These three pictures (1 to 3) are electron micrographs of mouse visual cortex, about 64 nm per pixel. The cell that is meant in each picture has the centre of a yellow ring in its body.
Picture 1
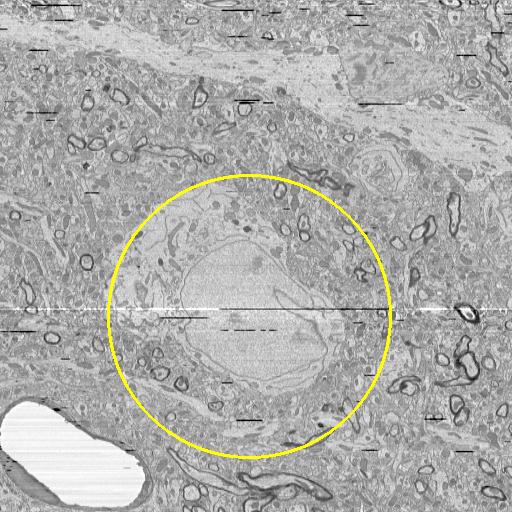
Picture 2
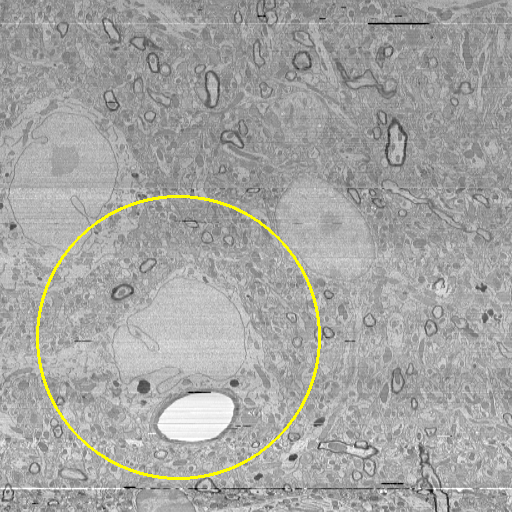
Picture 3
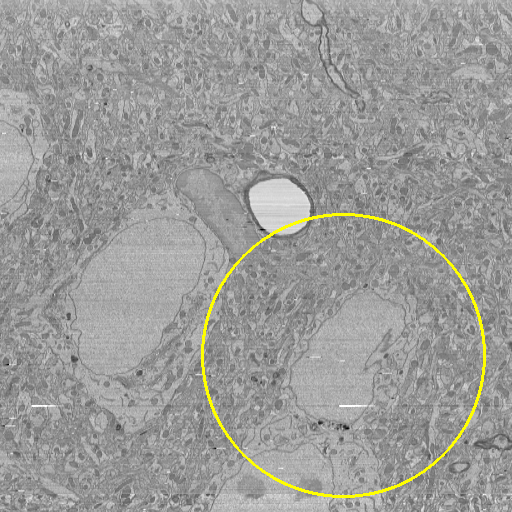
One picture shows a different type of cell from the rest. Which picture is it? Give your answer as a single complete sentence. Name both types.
Picture 3 is the odd one out: it shows an inhibitory neuron, while the others show excitatory neurons.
